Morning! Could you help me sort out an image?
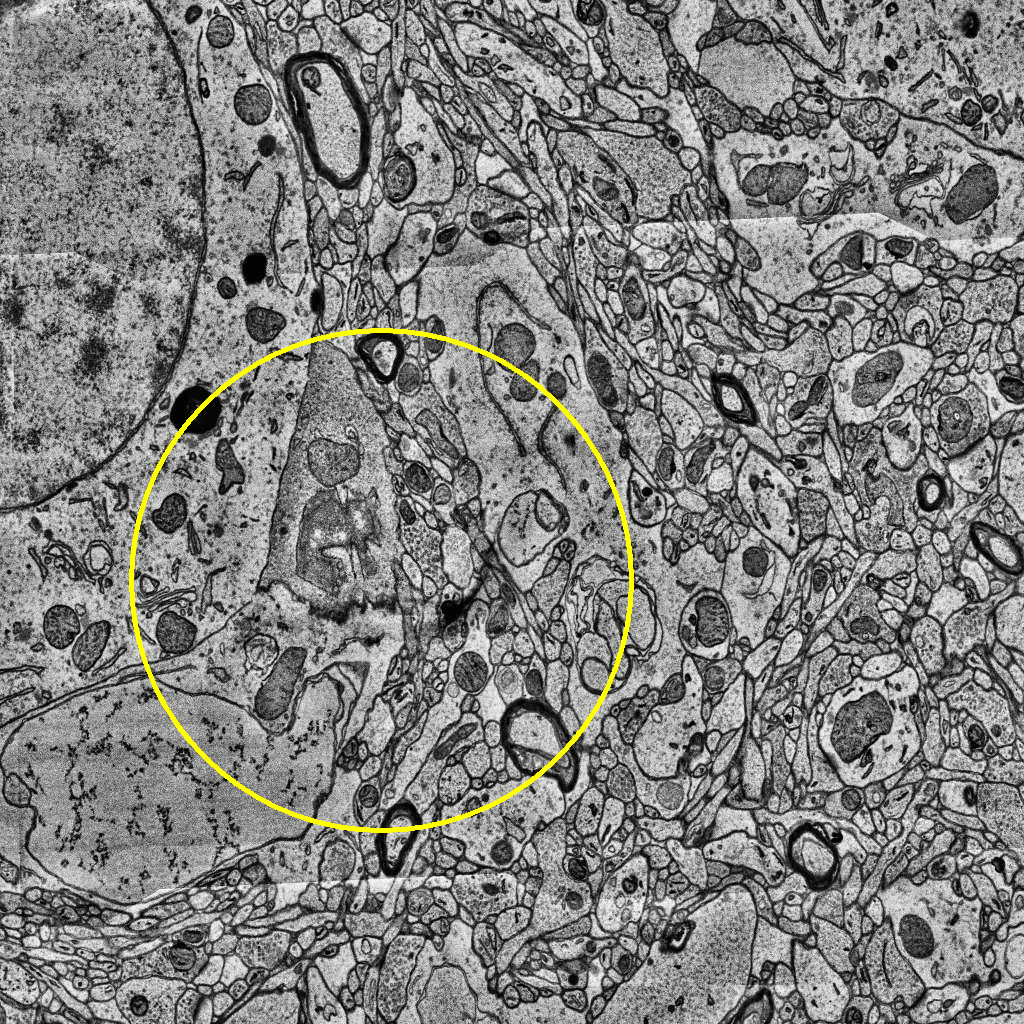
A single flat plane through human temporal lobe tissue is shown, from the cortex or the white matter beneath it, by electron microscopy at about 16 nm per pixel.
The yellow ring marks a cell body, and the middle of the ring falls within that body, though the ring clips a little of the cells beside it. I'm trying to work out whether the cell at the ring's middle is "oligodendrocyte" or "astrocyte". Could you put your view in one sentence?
The cell body at the ring's middle is that of an oligodendrocyte.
